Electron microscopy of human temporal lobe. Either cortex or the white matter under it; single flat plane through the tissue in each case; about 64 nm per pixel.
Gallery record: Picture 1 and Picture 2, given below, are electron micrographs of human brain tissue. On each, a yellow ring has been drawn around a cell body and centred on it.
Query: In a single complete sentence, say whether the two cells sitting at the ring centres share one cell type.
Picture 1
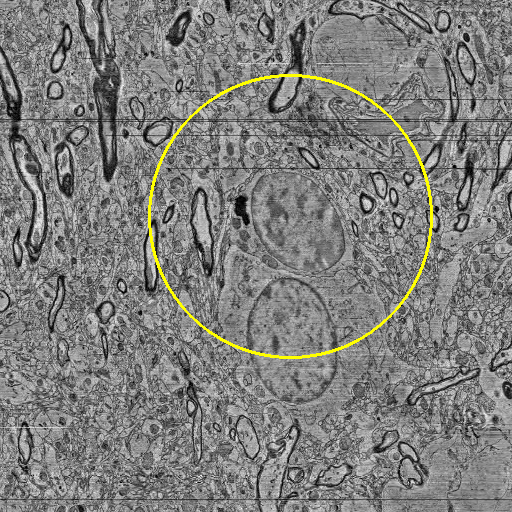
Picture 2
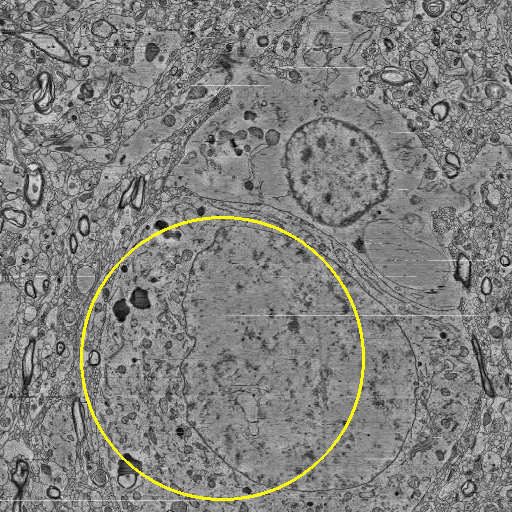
No, in the two pictures the cells at the rings' centres are of two separate types.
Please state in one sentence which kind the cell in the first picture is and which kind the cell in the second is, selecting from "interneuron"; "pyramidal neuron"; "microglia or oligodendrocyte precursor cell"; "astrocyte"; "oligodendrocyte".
The first ringed cell is an oligodendrocyte, the second ringed cell a pyramidal neuron.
